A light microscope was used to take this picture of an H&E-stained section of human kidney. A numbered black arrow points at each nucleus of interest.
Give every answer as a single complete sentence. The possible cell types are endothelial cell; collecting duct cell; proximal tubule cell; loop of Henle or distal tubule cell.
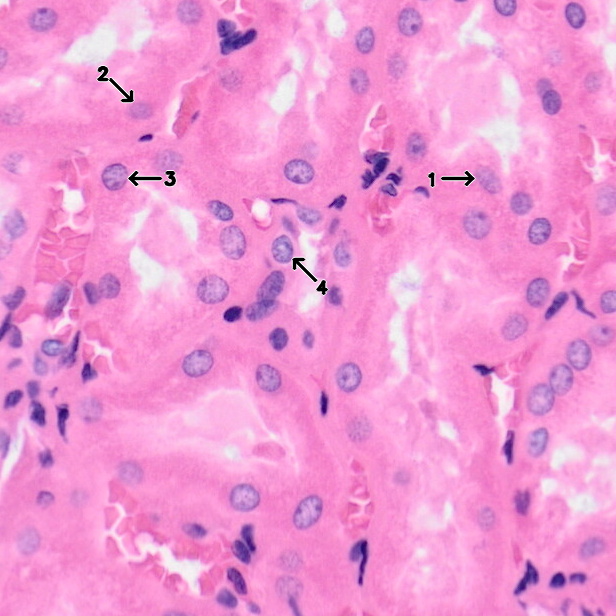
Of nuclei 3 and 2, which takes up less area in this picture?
The smaller nucleus is 2, and 3 covers roughly 1.5 times its area.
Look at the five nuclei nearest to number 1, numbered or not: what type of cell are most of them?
The majority of the five nuclei closest to number 1 belong to proximal tubule cells.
